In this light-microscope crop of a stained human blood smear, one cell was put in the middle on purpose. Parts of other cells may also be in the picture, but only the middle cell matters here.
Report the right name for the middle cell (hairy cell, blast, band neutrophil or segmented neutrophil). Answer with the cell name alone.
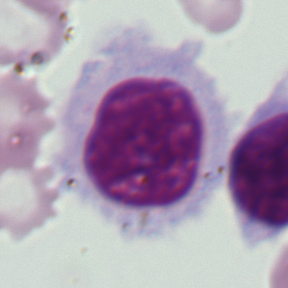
hairy cell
